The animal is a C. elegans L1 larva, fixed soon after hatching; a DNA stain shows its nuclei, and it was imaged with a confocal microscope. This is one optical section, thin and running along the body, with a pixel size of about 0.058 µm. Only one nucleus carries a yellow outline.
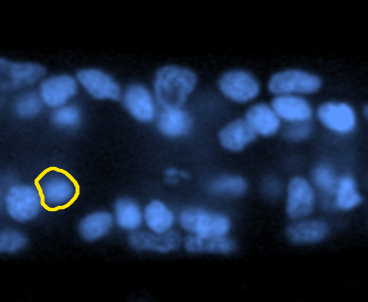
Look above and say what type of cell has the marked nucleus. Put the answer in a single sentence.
It is the nucleus of a GLR cell.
